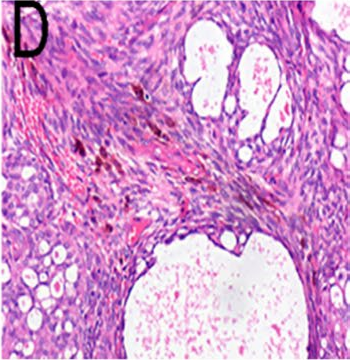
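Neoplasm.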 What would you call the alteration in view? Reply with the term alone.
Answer: Spindle cell pattern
